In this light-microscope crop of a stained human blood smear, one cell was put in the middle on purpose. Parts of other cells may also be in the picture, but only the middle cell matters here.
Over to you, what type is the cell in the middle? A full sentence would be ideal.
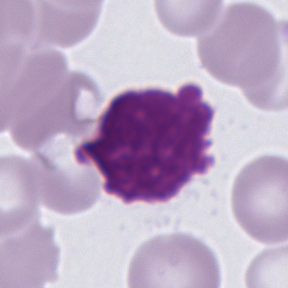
What the crop centres on is a smudge cell.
